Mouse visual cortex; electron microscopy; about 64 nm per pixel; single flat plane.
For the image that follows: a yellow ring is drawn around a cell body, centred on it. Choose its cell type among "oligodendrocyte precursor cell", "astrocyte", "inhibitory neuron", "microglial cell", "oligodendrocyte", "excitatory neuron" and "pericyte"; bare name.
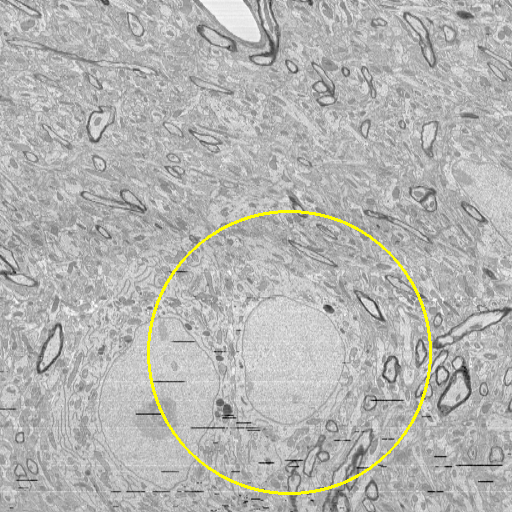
excitatory neuron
